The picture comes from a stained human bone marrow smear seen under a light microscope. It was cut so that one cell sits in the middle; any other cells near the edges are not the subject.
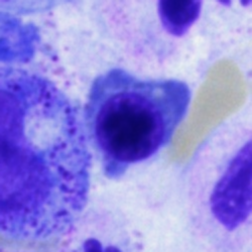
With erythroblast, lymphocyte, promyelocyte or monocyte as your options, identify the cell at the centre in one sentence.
Whatever else lies nearby, the middle cell is an erythroblast.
